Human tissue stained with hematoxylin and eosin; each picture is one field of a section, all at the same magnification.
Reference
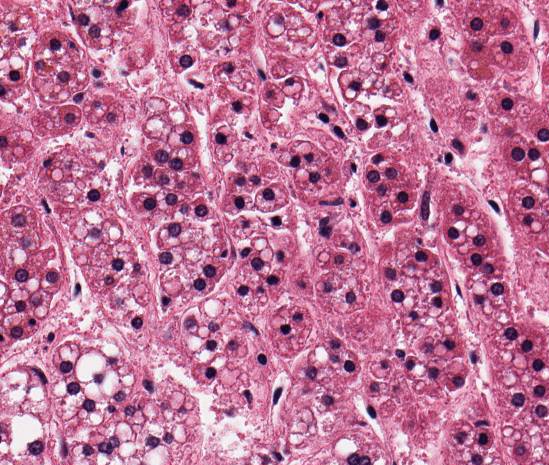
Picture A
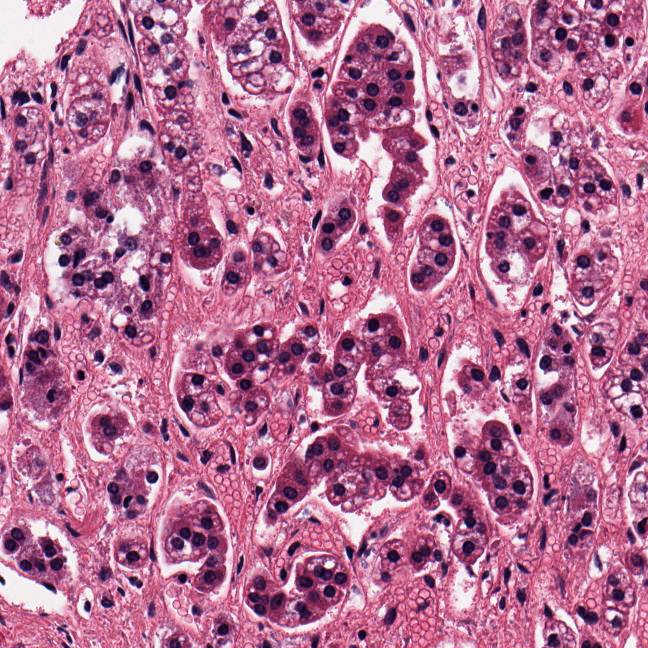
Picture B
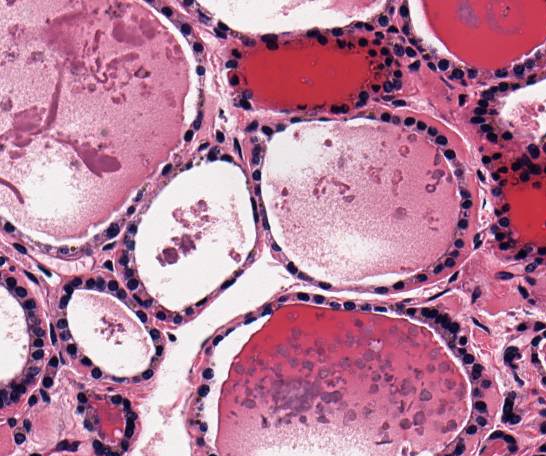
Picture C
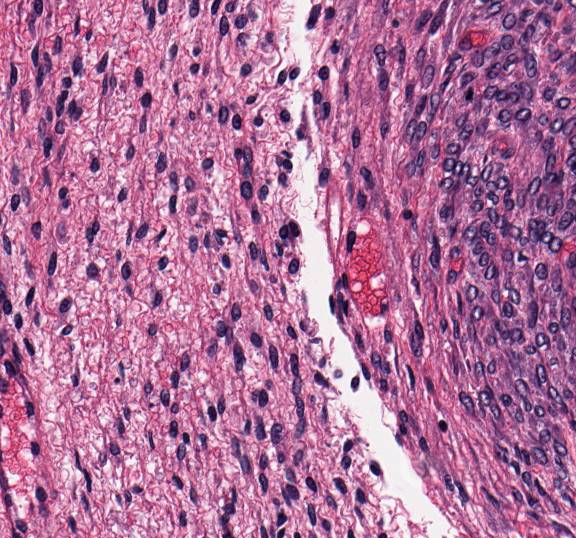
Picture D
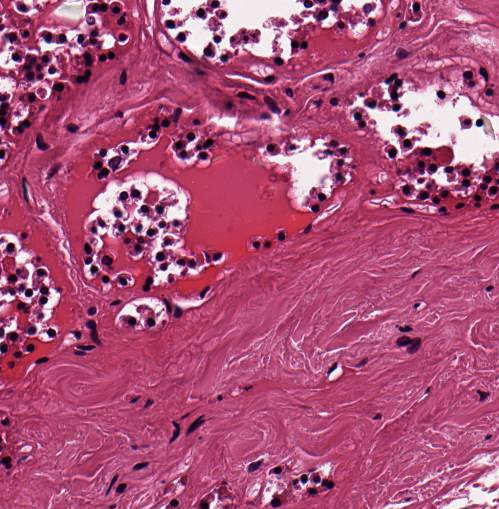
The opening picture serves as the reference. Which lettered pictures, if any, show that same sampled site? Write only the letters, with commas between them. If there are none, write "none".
A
